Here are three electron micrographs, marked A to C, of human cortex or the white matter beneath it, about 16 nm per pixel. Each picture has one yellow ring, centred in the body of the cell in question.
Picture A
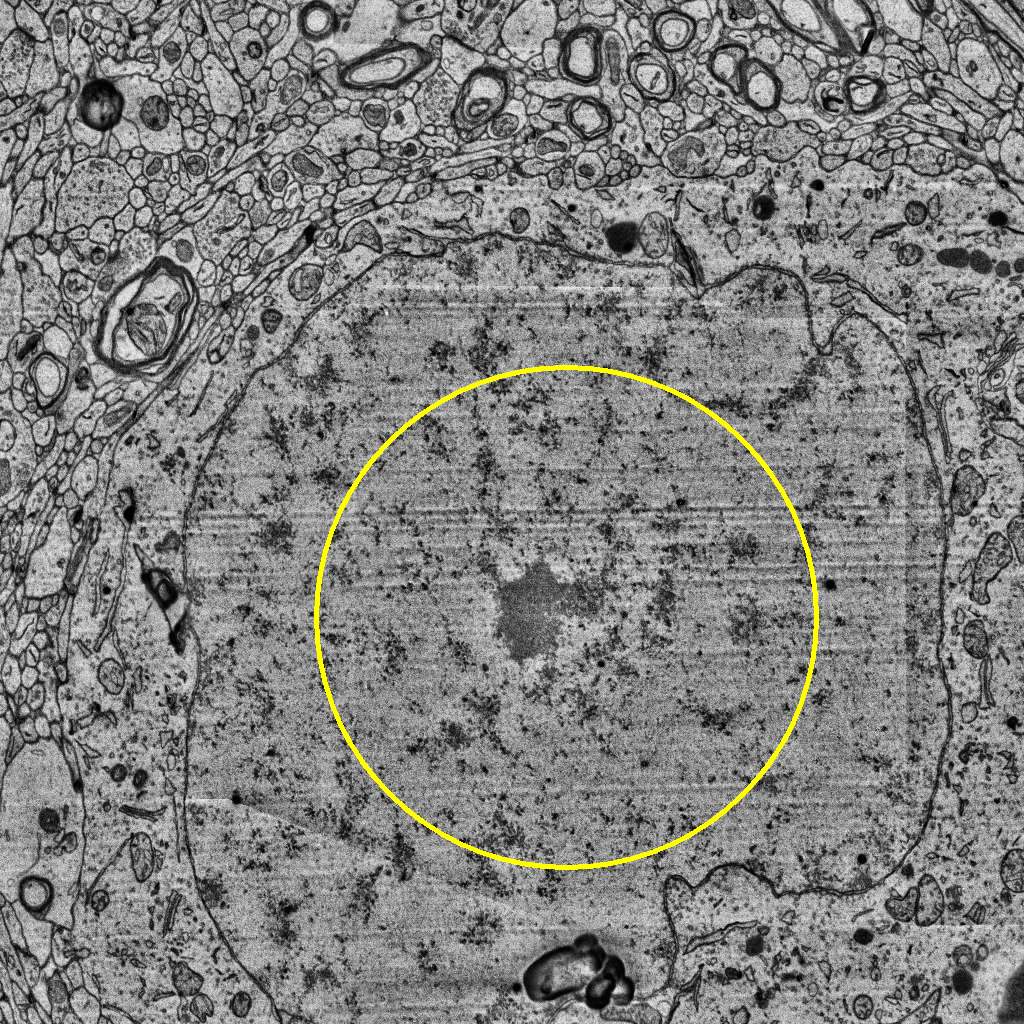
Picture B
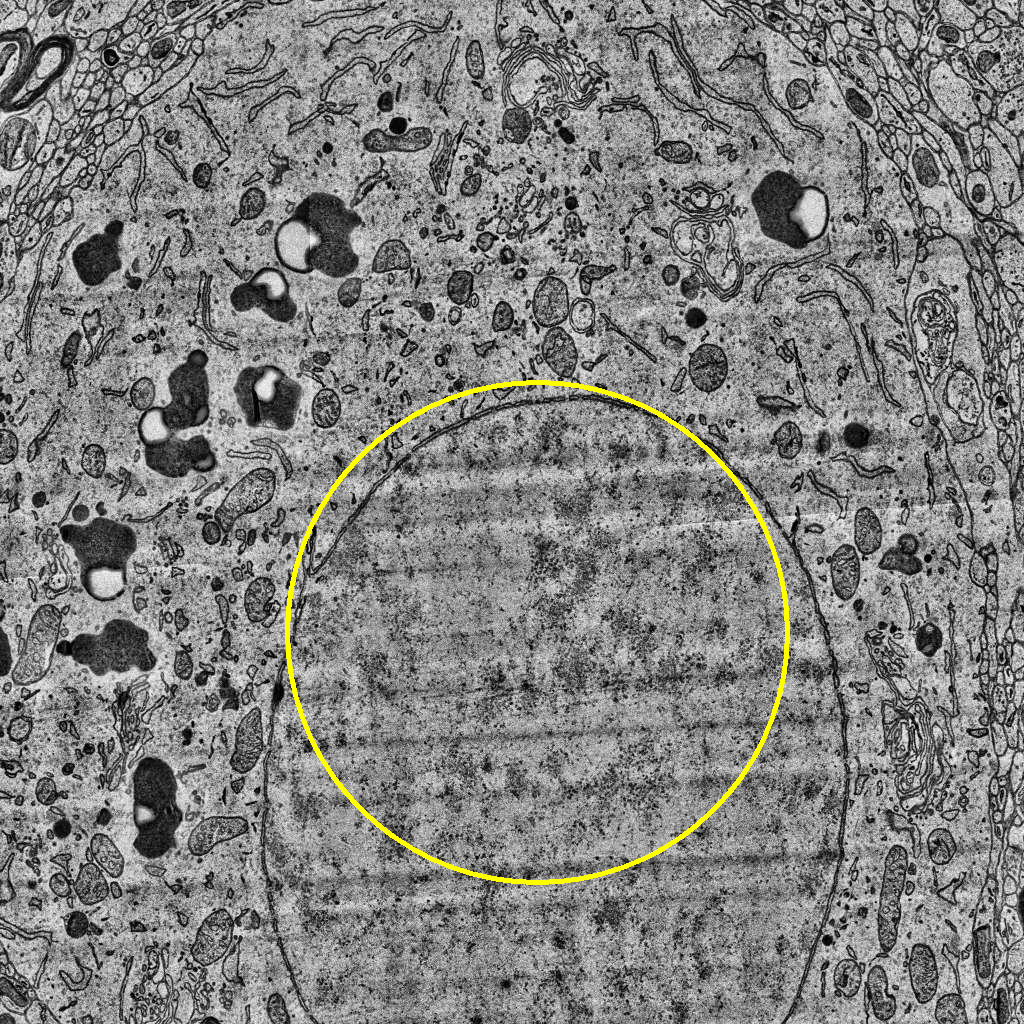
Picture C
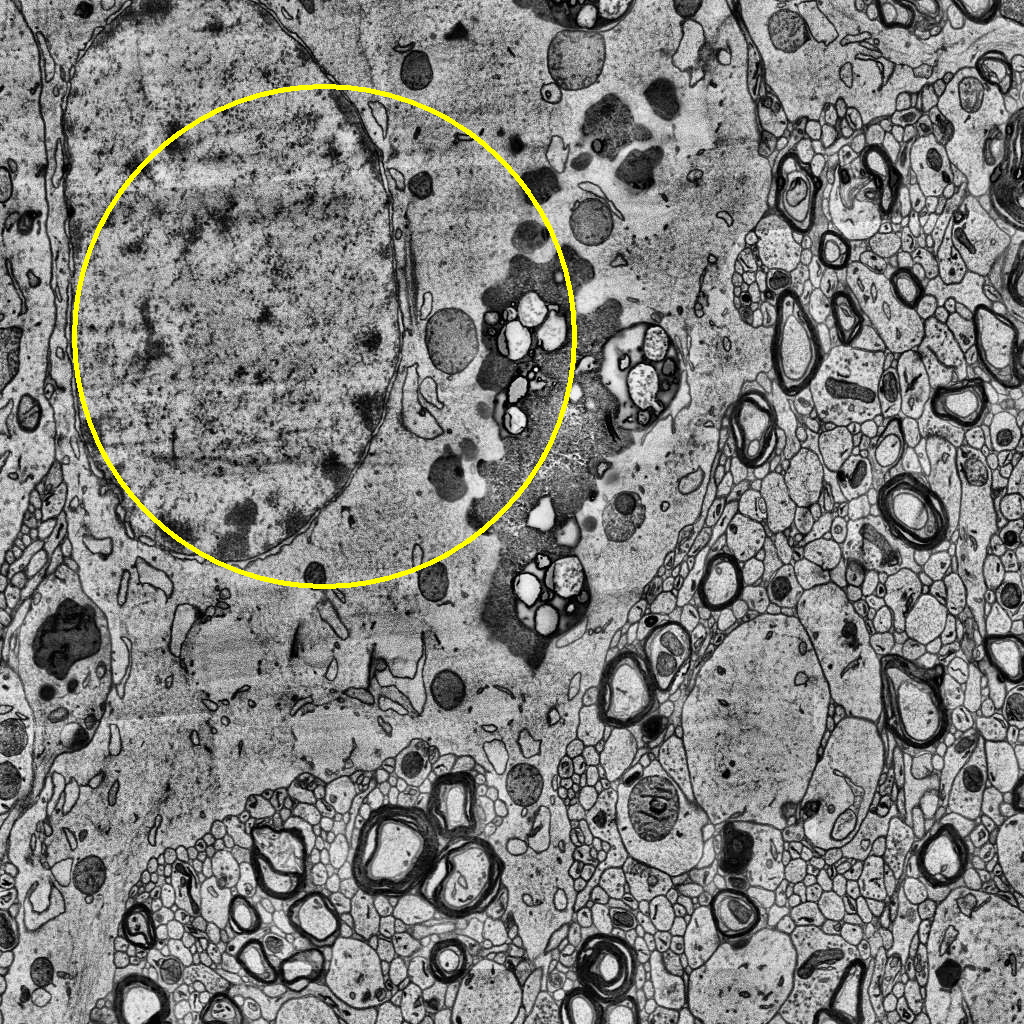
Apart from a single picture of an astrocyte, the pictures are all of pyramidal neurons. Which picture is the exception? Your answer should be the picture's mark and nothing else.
C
